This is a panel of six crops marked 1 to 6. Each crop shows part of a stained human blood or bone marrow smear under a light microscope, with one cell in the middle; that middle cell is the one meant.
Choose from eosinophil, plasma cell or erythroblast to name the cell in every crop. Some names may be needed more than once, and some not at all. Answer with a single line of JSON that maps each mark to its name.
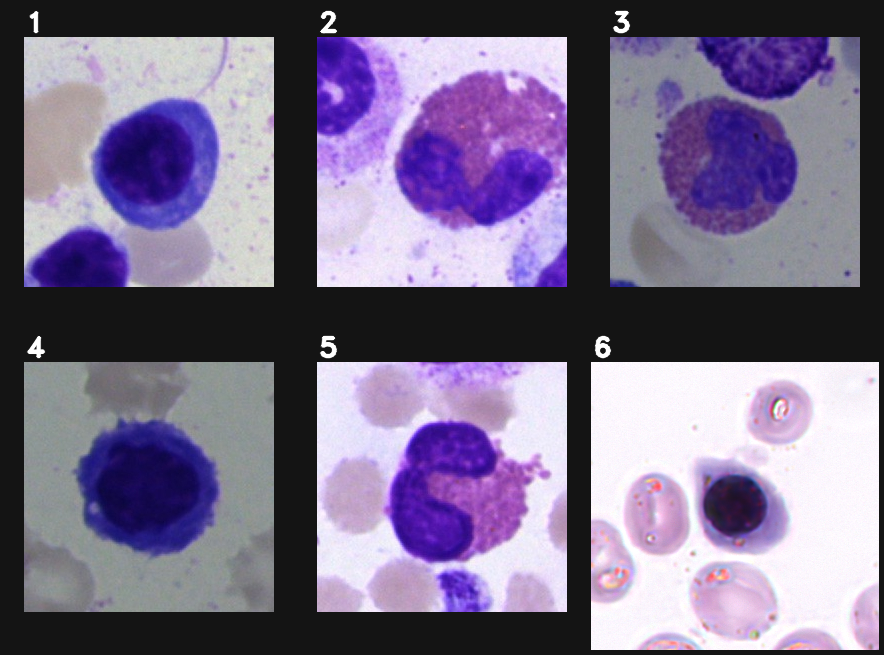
{"1": "plasma cell", "2": "eosinophil", "3": "eosinophil", "4": "plasma cell", "5": "eosinophil", "6": "erythroblast"}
